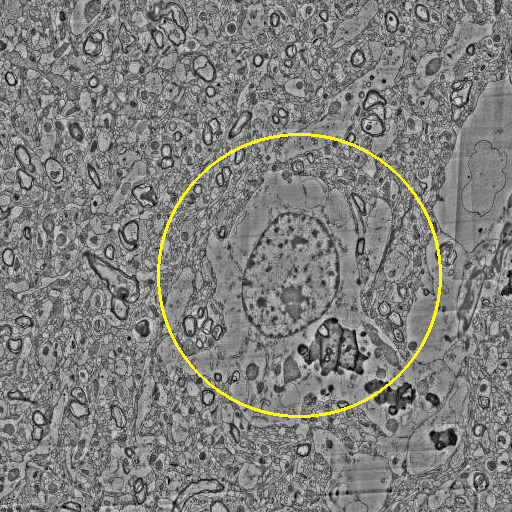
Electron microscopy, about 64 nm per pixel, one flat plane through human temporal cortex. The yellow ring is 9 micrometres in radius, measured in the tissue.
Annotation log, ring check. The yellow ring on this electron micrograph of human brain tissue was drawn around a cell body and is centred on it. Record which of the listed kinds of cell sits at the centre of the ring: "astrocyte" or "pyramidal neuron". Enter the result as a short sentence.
The cell at the centre of the ring is an astrocyte.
